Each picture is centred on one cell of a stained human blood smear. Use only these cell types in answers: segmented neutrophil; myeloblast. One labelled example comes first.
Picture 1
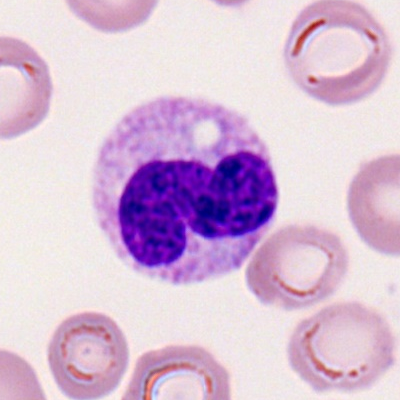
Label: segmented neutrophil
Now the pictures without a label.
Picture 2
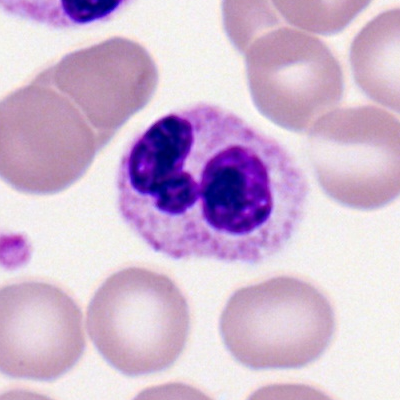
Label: segmented neutrophil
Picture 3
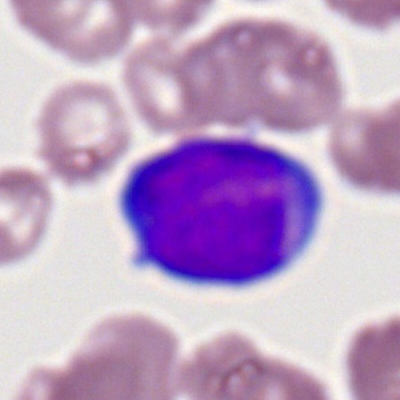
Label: myeloblast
